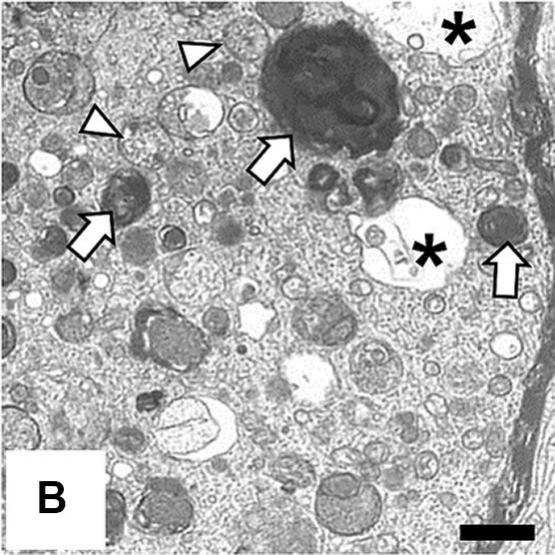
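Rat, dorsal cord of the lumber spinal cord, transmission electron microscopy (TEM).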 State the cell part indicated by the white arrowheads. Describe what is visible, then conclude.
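Abnormal mitochondria. The arrowheads point to rounded membrane-bound organelles among many similar profiles in the axoplasm.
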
